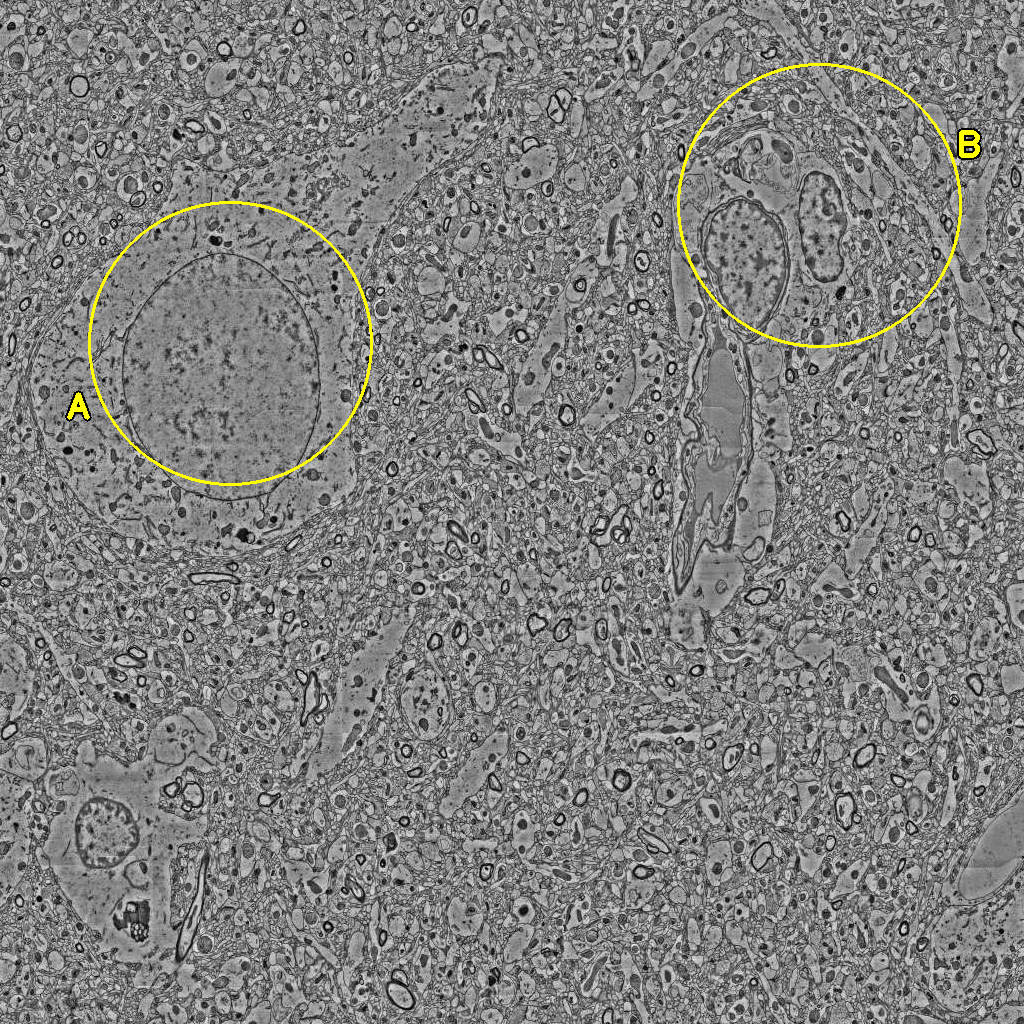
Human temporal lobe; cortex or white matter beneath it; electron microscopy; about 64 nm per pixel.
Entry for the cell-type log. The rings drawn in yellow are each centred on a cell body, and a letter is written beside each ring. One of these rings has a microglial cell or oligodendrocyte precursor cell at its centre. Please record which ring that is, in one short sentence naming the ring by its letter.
Ring B is centred on it.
